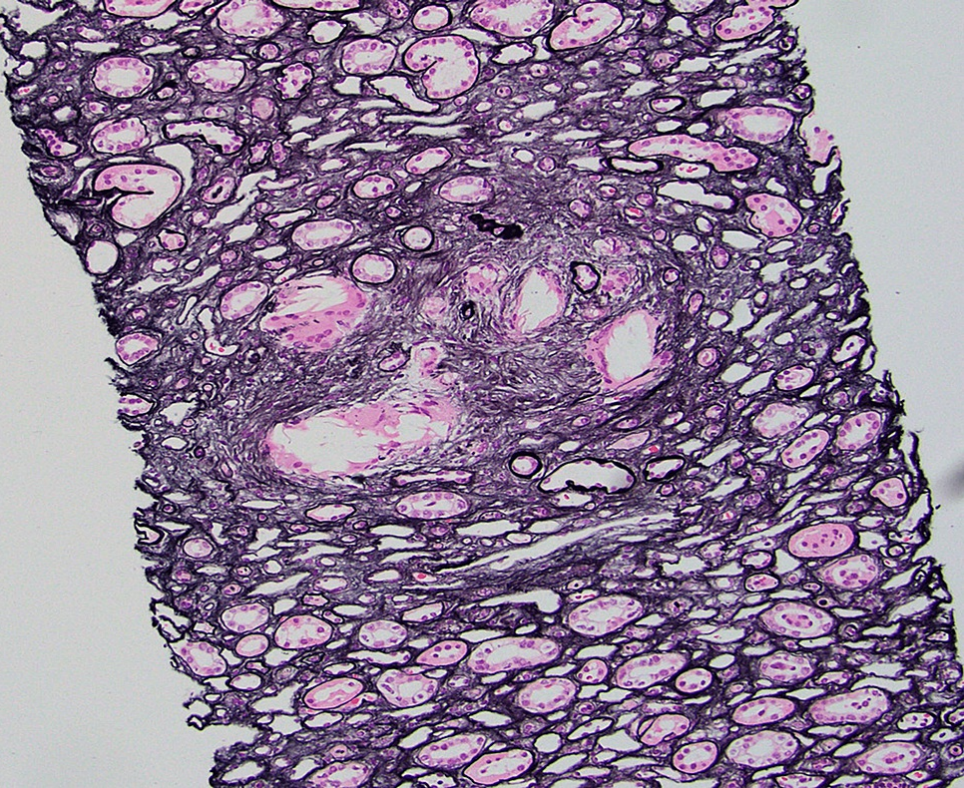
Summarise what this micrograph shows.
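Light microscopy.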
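A needle core of kidney medulla is packed with small, round to oval tubular profiles. Their pink cytoplasm and small dark nuclei line open lumina, set in a dark-stained interstitium. Near the centre, the regular pattern is broken by a nodular lesion. It holds several large, pale pink, amorphous deposits with a faintly fibrillar texture. Dense, whorled fibrous tissue surrounds and separates these deposits, crowding and distorting the nearby tubules. A few small black fragments lie within the fibrous zone.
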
